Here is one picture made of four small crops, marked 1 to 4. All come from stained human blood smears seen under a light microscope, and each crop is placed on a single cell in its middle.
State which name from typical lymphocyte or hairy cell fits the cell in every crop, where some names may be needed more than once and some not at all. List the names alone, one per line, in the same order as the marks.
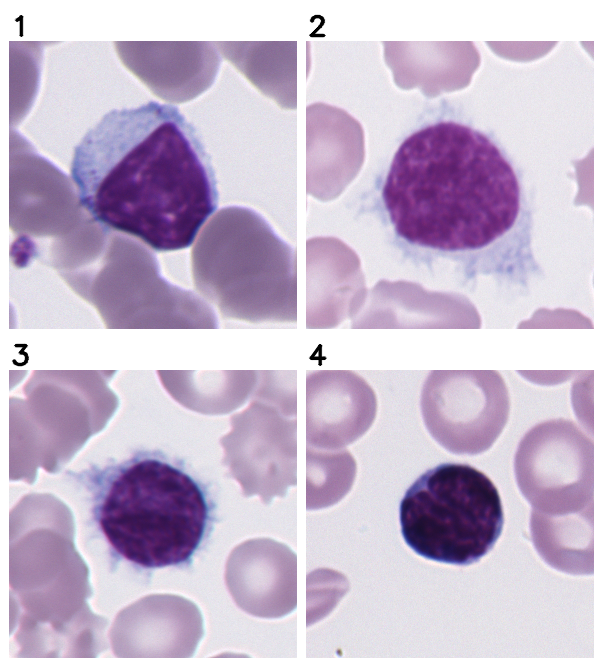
typical lymphocyte
hairy cell
hairy cell
typical lymphocyte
